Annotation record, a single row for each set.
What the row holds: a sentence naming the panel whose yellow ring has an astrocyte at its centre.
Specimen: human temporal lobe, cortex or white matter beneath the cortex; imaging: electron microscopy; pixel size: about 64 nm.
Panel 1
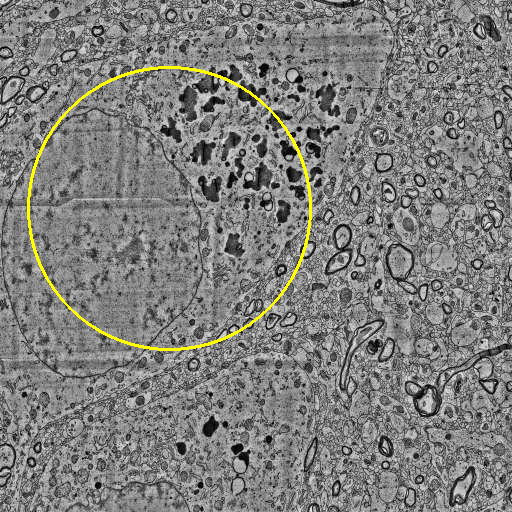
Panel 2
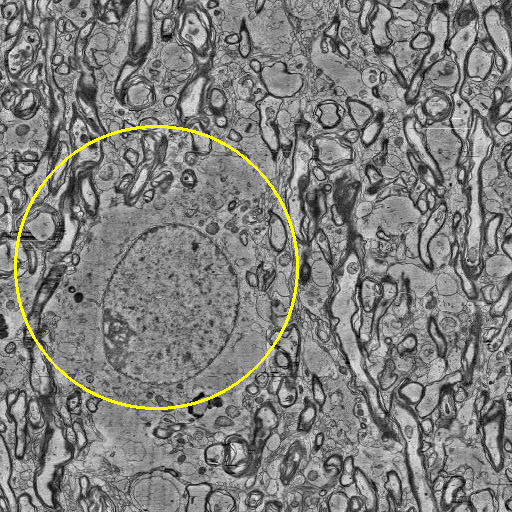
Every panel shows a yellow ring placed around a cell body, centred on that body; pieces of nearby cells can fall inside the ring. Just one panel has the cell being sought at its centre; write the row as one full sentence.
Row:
In panel 2, the cell at the middle of the yellow ring is the one sought.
